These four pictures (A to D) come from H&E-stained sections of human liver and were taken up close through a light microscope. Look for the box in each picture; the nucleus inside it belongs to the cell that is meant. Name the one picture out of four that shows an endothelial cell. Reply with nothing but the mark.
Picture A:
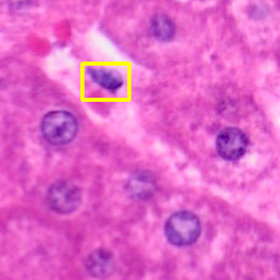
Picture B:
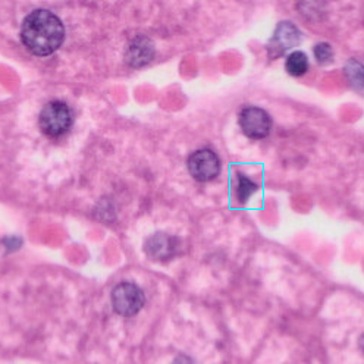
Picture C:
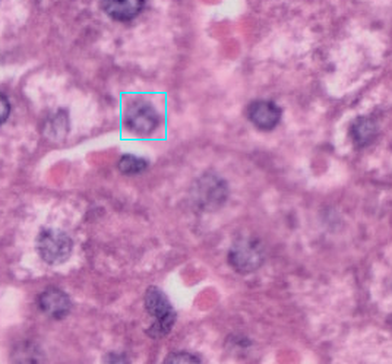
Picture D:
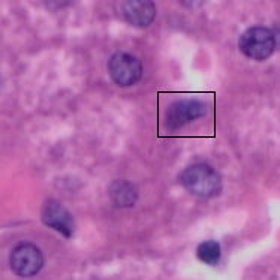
A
